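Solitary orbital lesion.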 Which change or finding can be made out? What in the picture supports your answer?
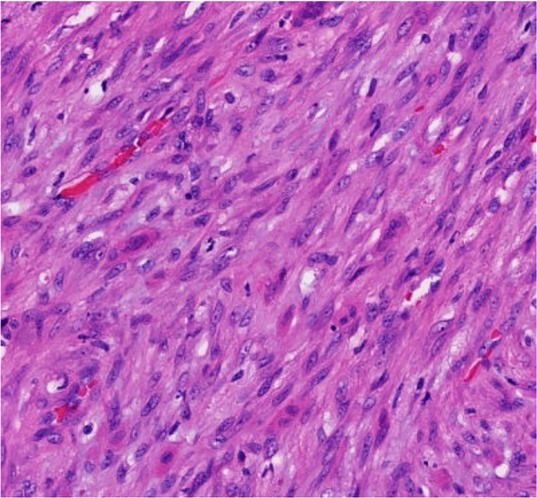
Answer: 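Densely packed cells with elongated, spindle-shaped nuclei. Cells run in parallel streaming bundles. Pink fibrous material lies between the cells. That points to this answer: spindle cell tumor.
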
